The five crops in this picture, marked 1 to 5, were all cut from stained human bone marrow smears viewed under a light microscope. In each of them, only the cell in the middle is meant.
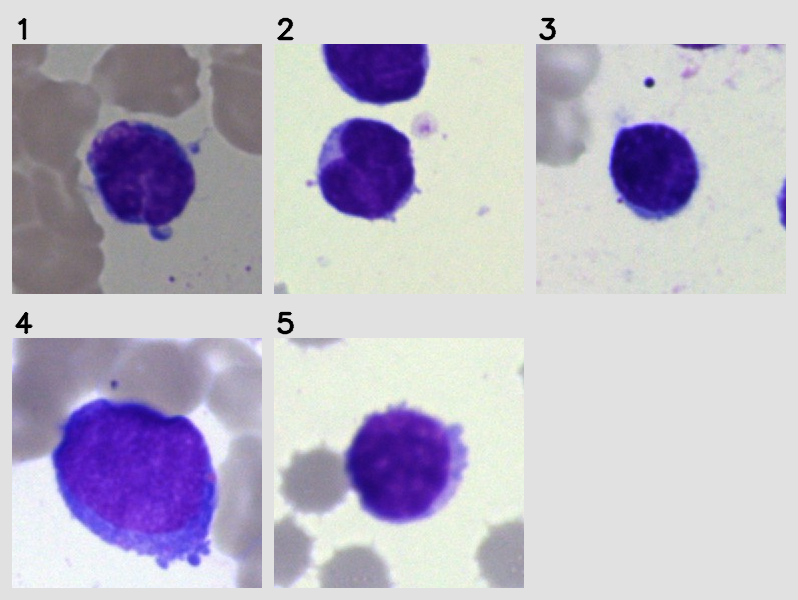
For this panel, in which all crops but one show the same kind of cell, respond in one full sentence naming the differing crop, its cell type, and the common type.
Crop 4 is the outlier, with a blast against lymphocytes in the rest.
